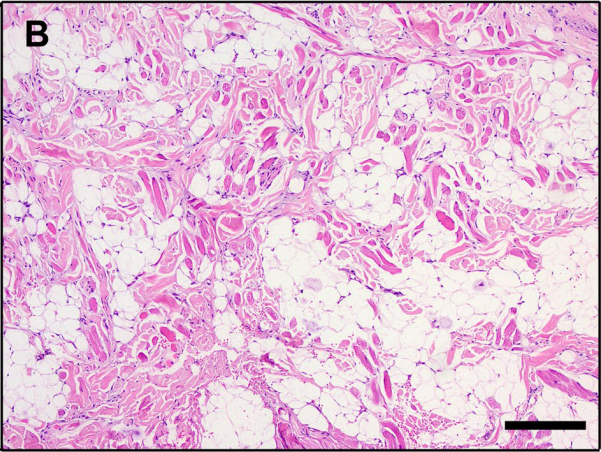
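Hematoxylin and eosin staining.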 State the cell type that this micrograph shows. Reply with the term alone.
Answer: Mature adipocytes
